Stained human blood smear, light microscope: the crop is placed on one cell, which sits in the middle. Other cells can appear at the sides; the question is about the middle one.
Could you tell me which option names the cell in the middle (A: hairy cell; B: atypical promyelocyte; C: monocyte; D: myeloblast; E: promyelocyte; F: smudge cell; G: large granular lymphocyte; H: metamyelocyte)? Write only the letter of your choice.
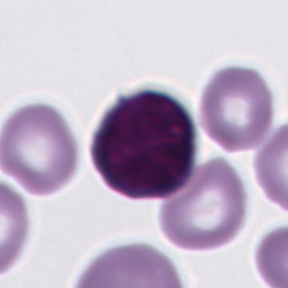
D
